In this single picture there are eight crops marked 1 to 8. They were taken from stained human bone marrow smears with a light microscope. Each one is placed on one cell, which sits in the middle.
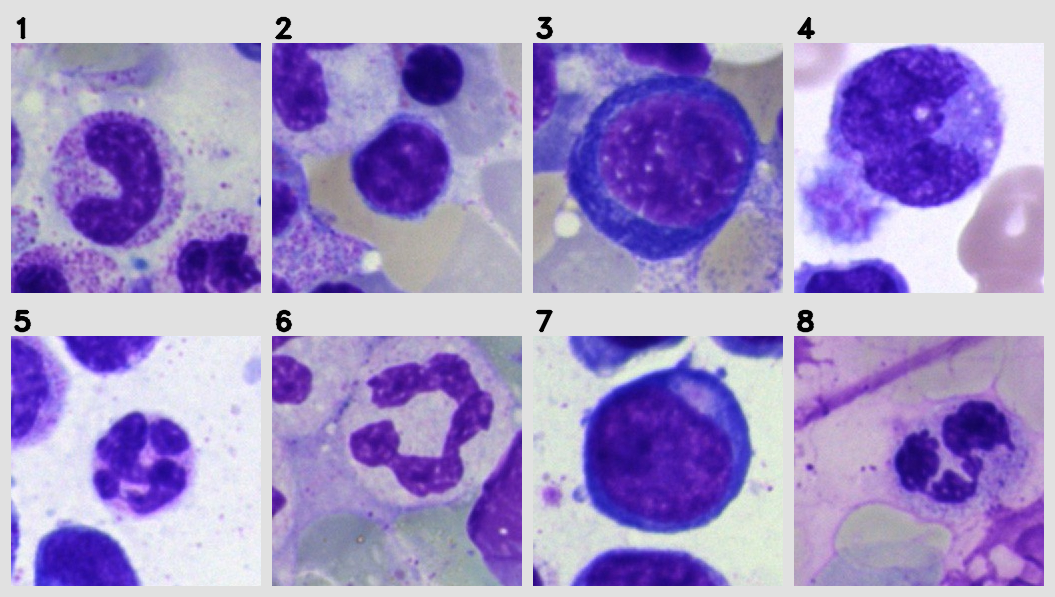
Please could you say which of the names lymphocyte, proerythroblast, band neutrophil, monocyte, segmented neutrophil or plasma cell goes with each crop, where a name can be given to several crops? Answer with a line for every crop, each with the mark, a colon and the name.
1: band neutrophil
2: lymphocyte
3: proerythroblast
4: monocyte
5: segmented neutrophil
6: segmented neutrophil
7: proerythroblast
8: segmented neutrophil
